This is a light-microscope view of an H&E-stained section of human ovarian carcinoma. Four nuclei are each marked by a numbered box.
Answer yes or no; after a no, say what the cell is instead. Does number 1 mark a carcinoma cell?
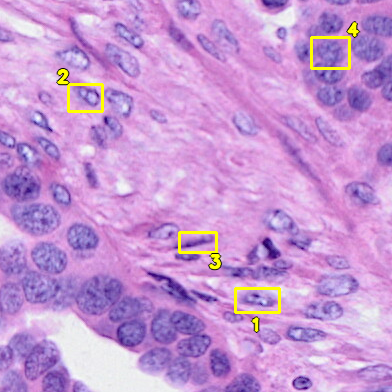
No, it is a fibroblast.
